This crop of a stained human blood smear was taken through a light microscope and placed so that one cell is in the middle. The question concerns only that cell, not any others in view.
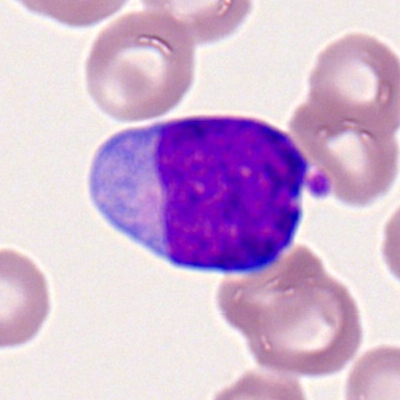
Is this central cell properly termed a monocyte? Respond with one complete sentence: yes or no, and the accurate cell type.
No, it is not a monocyte that lies in the middle but a blast.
